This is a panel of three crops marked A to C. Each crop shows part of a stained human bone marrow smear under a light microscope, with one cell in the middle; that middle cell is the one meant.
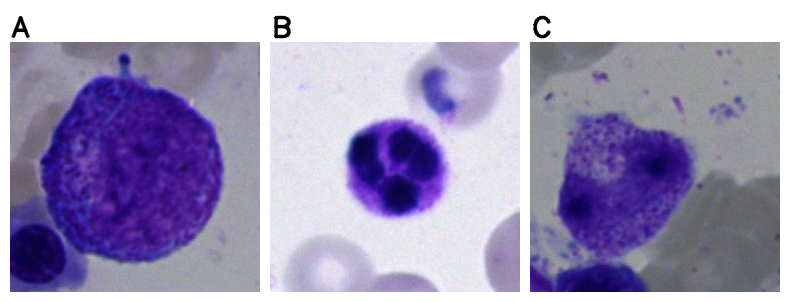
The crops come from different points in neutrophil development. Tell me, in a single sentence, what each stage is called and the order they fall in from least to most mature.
Ranked from least to most mature, the sequence is crop A (a promyelocyte), crop C (a band neutrophil) and crop B (a segmented neutrophil).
